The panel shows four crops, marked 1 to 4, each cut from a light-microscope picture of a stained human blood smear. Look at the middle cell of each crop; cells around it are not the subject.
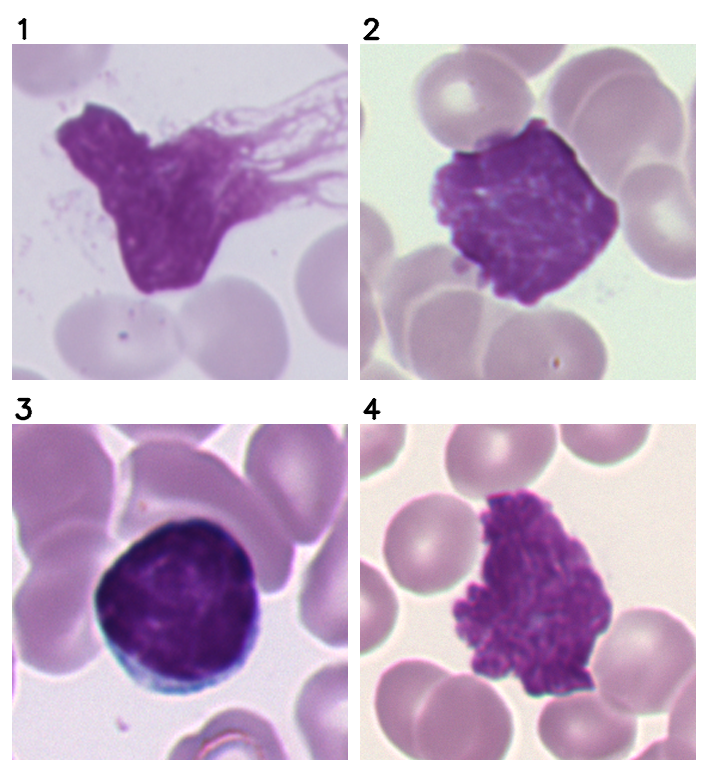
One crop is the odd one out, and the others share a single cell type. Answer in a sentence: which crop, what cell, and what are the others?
Only one crop differs, namely crop 3, which is a typical lymphocyte; the others show smudge cells.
